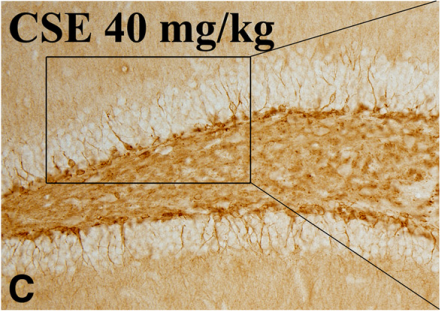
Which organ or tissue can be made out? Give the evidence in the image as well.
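Two curved bands of densely packed pale round cell bodies flank a darker central zone. So: dentate gyrus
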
